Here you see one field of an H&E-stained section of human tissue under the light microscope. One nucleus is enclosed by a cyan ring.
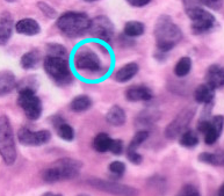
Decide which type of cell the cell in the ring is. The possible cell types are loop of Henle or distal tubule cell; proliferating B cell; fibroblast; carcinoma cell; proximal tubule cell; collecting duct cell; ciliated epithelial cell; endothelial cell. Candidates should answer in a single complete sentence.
Right, so the cell in the ring is a proliferating B cell, to answer that.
